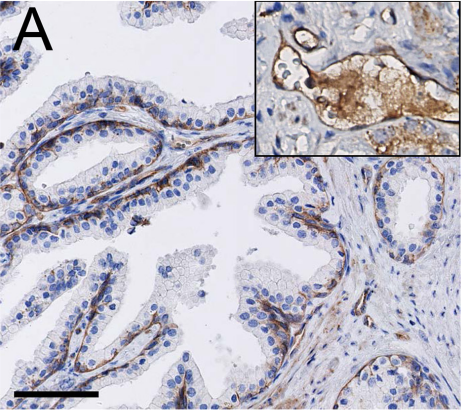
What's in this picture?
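This is prostate tissue with several glands whose inner borders fold into papillary projections around wide open lumina. The glands are lined by tall columnar cells with pale, foamy cytoplasm and small blue nuclei lying toward their base. Beneath them, along the outer edge of each gland, a thin continuous layer of flattened cells is outlined in brown. Between the glands lies fibromuscular stroma with elongated spindle nuclei. The inset shows a small vessel-like structure whose cells are stained brown. This is normal prostate, with the brown layer marking the basal epithelial cells and, in the inset, endothelial cells.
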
